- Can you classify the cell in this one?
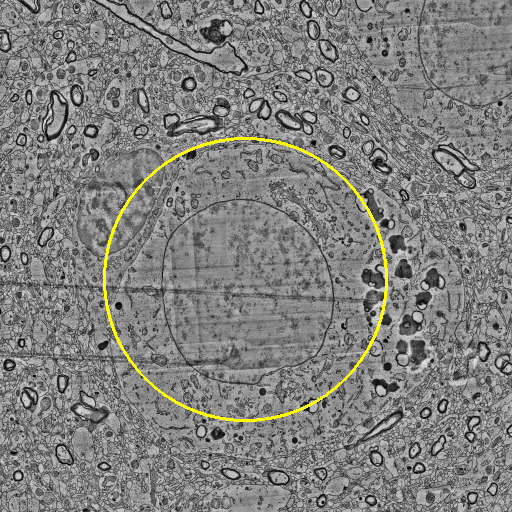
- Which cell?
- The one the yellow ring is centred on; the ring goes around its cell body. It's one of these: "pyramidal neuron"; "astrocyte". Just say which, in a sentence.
The cell body in the ring belongs to a pyramidal neuron.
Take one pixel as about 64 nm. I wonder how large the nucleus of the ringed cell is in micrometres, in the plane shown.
The nucleus is approximately 12 micrometers across in this plane.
